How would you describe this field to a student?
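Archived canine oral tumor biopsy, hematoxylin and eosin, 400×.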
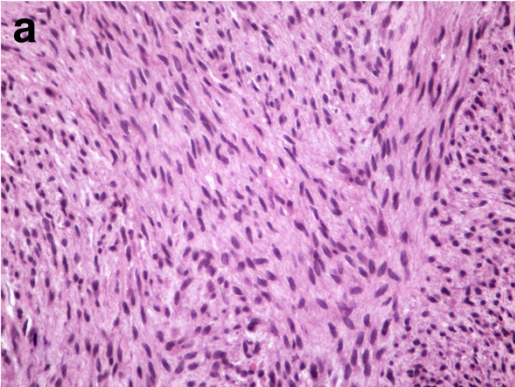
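This is a densely cellular spindle cell tumour made up of fibroblast-like cells. The cells have elongated, oval to cigar-shaped dark purple nuclei and scant, ill-defined pink cytoplasm. They are arranged in interlacing fascicles and bundles that run in different directions across the field. Between the cells lies pink, fibrillar collagenous stroma. Some areas are more crowded with nuclei than others, giving a variable cellularity.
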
